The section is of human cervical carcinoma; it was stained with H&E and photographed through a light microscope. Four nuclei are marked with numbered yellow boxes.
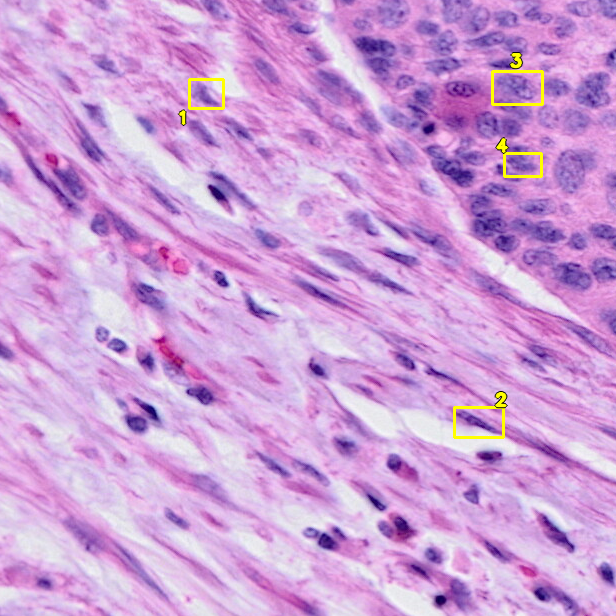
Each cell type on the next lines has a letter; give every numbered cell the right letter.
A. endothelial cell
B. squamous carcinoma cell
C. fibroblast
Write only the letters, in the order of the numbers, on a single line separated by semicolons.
C; C; B; B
